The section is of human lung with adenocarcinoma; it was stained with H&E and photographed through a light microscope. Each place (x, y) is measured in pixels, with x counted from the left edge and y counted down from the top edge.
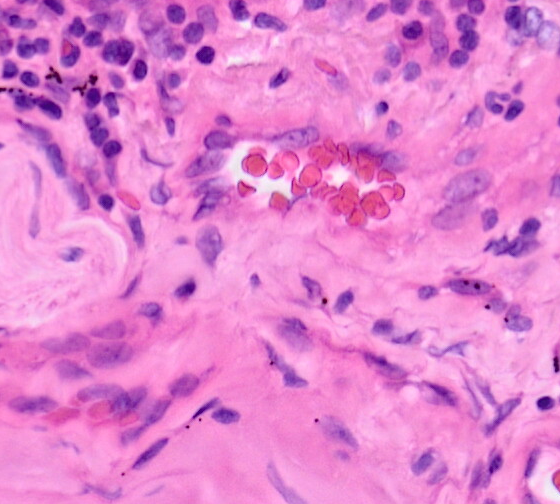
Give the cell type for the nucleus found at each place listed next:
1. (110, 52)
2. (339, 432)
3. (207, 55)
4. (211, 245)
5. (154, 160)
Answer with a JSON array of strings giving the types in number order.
["lymphocyte", "fibroblast", "lymphocyte", "fibroblast", "fibroblast"]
